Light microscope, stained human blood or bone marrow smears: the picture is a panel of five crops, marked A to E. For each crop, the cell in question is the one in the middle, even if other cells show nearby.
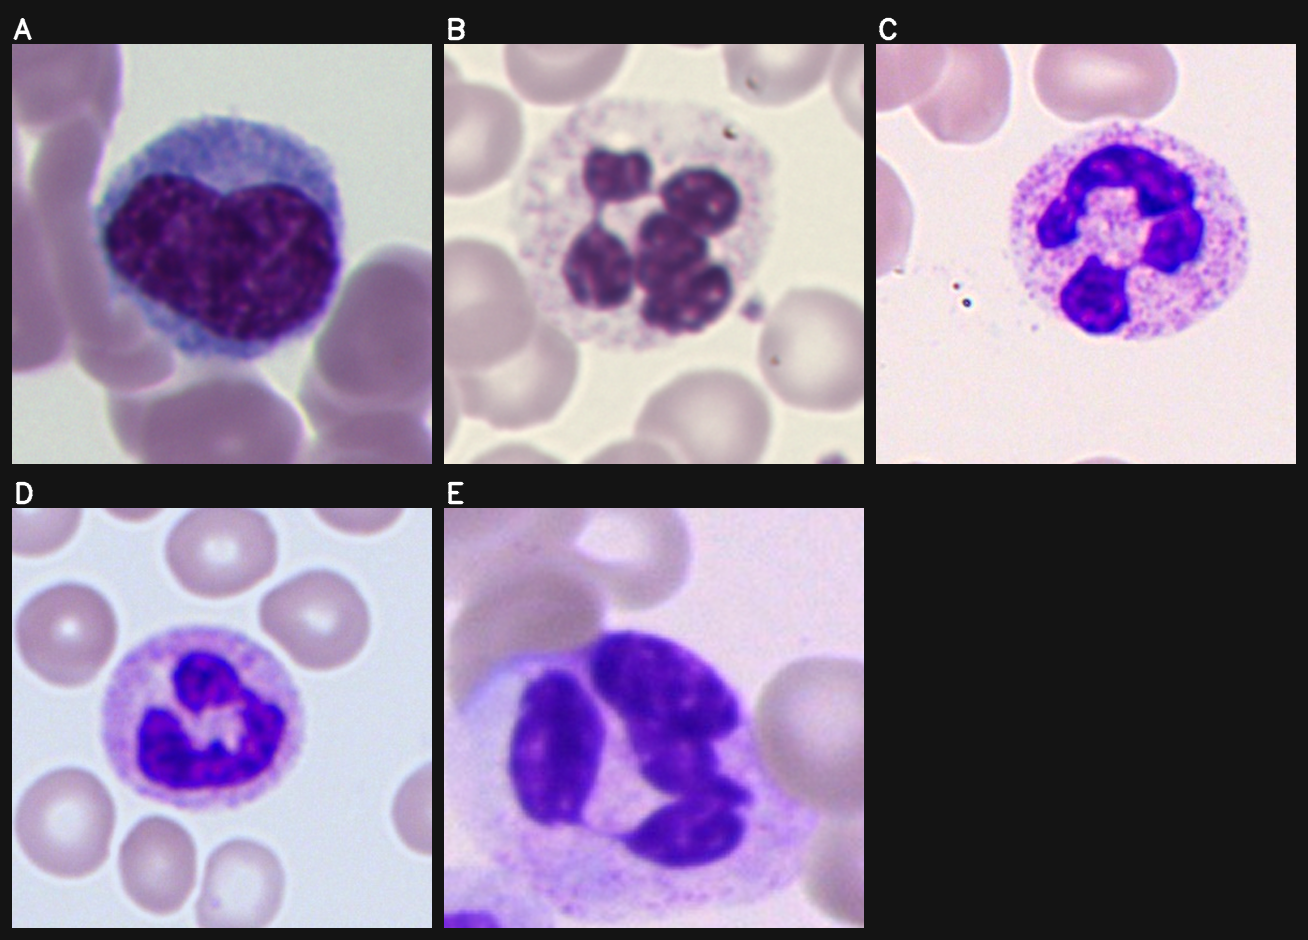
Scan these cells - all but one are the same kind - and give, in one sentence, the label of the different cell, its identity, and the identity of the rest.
Crop A shows a monocyte, while all of the others show neutrophils.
